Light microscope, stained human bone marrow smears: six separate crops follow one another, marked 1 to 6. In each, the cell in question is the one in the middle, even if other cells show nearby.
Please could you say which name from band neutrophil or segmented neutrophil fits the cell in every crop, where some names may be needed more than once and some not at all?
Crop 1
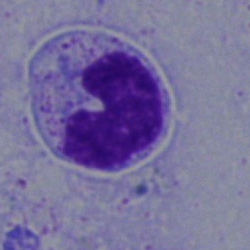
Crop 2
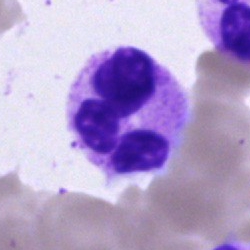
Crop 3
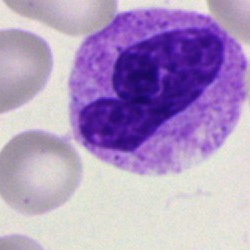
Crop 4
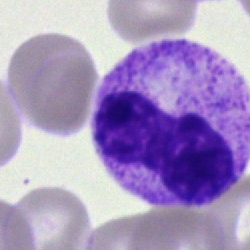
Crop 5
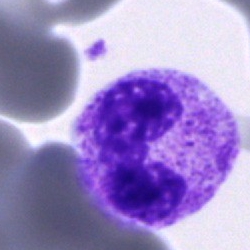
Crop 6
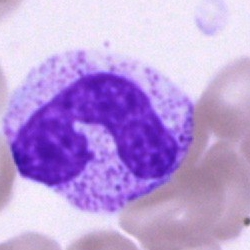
1: band neutrophil
2: segmented neutrophil
3: segmented neutrophil
4: band neutrophil
5: segmented neutrophil
6: band neutrophil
